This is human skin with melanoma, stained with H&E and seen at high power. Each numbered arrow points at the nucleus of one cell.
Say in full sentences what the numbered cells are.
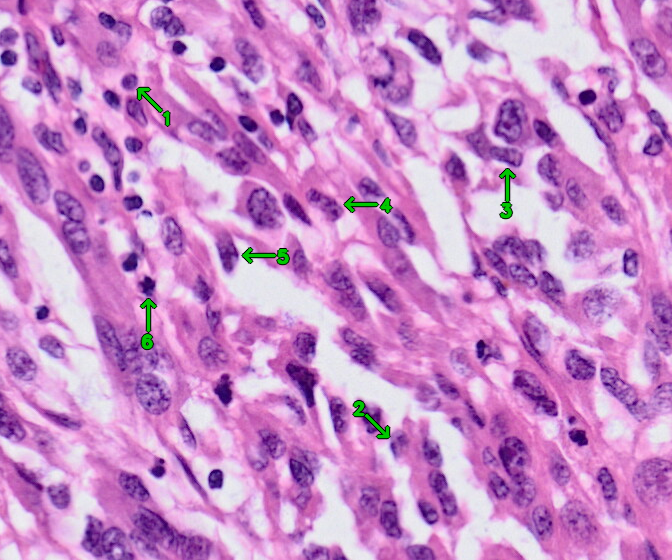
Cell 1 is a lymphocyte, cell 2 is a melanoma cell, cell 3 is a melanoma cell, cell 4 is a melanoma cell, cell 5 is a melanoma cell and cell 6 is a lymphocyte.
